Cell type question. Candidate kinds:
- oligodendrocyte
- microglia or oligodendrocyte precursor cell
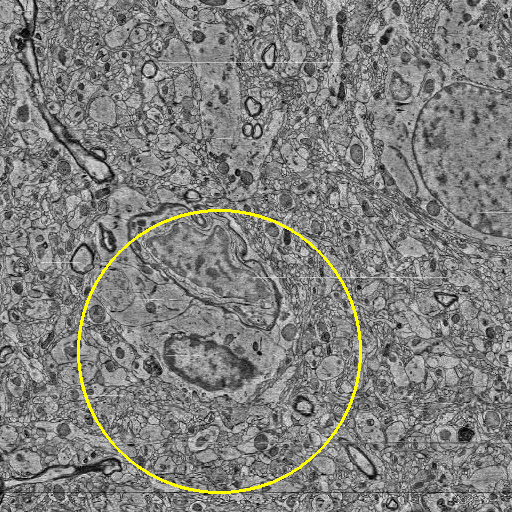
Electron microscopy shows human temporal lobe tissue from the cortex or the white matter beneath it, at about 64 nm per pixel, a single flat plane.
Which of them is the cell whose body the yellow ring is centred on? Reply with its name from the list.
microglia or oligodendrocyte precursor cell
